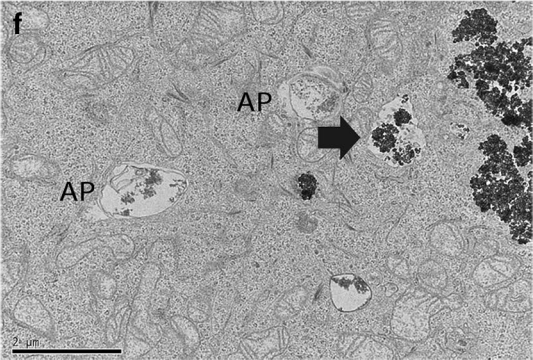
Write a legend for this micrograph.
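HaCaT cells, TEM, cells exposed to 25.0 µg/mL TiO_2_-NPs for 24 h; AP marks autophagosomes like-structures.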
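Cytoplasm of a cultured cell at high magnification, with numerous mitochondria and membrane profiles scattered through a finely granular matrix. Several rounded membrane-bound vesicles with pale lumens contain clumps of very electron-dense granular material, and two larger such compartments hold looser fibrillar and dense contents. Large irregular aggregates of the same dense granular material lie at the right edge. No nucleus is included in the field.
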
